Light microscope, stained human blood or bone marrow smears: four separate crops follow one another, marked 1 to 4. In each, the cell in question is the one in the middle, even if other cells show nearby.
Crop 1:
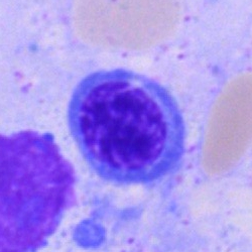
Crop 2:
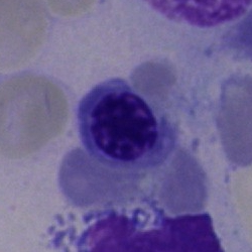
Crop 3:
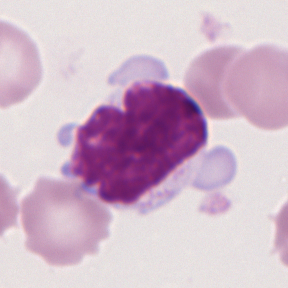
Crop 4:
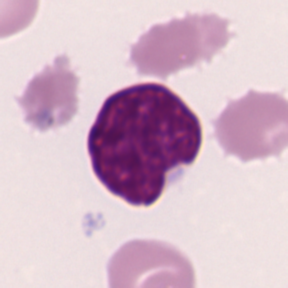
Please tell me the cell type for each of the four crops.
1: erythroblast
2: erythroblast
3: lymphocyte
4: lymphocyte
